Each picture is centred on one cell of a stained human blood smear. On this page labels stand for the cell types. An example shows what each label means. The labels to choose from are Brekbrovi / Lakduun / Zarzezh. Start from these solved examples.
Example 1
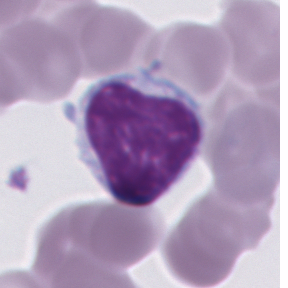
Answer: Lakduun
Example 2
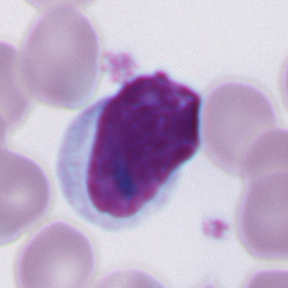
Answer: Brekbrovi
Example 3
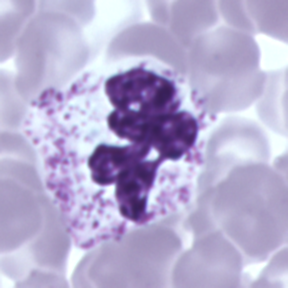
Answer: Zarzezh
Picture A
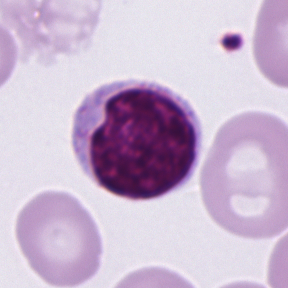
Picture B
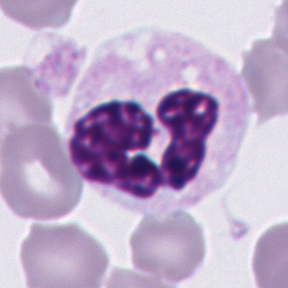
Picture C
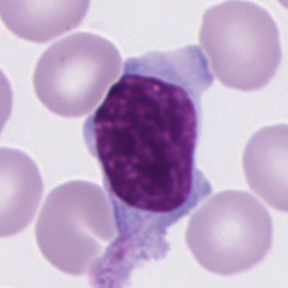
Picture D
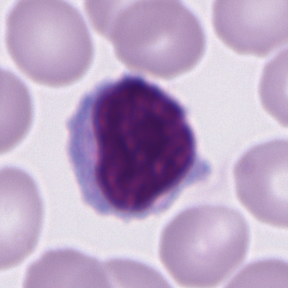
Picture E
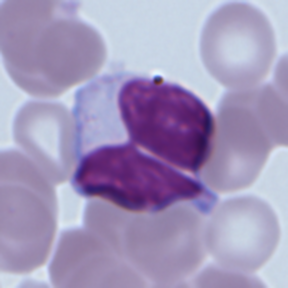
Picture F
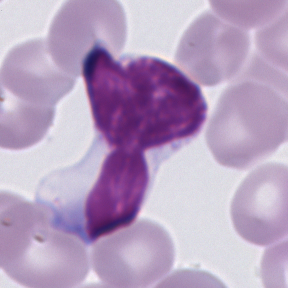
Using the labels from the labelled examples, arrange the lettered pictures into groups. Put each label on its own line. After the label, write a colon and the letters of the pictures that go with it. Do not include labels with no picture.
Brekbrovi: D
Lakduun: A, C, E, F
Zarzezh: B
